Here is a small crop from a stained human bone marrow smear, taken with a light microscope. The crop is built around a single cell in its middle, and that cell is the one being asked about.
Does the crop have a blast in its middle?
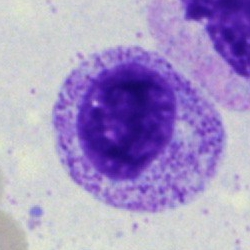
no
